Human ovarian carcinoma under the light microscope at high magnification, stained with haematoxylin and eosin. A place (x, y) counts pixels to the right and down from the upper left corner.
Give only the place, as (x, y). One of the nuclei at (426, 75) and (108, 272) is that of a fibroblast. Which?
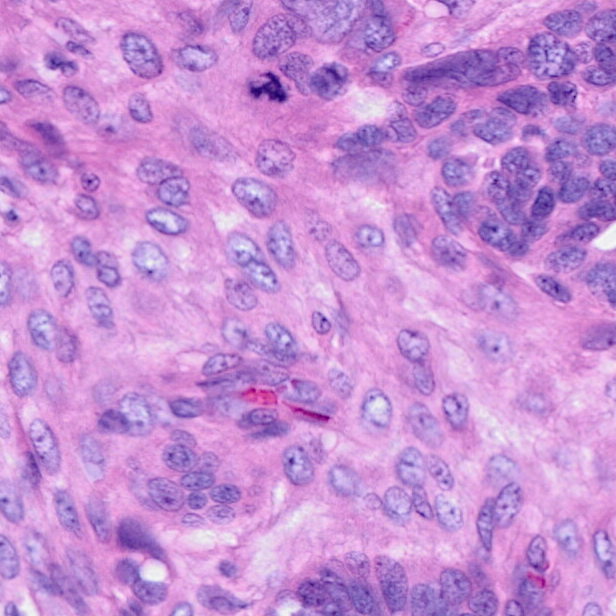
(108, 272)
